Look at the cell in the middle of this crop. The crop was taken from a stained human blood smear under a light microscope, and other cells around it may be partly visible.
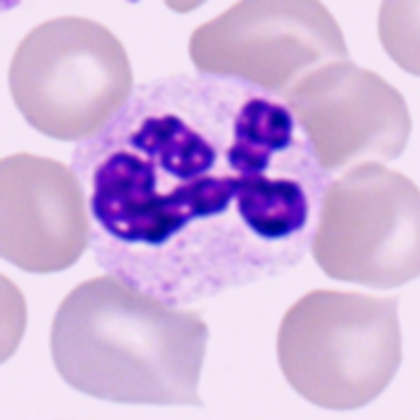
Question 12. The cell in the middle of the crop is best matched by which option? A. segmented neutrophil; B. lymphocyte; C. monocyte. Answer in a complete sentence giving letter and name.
The correct choice is option A, which identifies the middle cell as a segmented neutrophil.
